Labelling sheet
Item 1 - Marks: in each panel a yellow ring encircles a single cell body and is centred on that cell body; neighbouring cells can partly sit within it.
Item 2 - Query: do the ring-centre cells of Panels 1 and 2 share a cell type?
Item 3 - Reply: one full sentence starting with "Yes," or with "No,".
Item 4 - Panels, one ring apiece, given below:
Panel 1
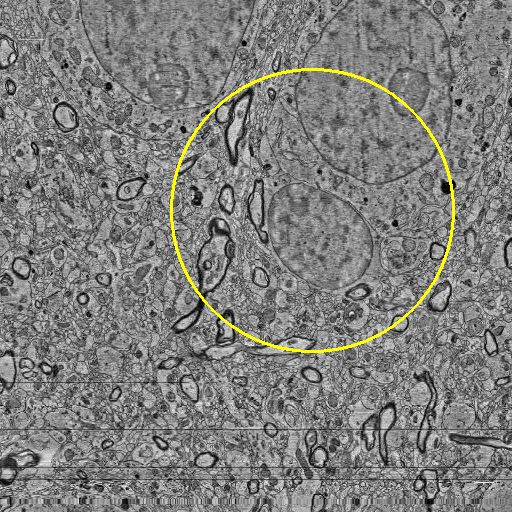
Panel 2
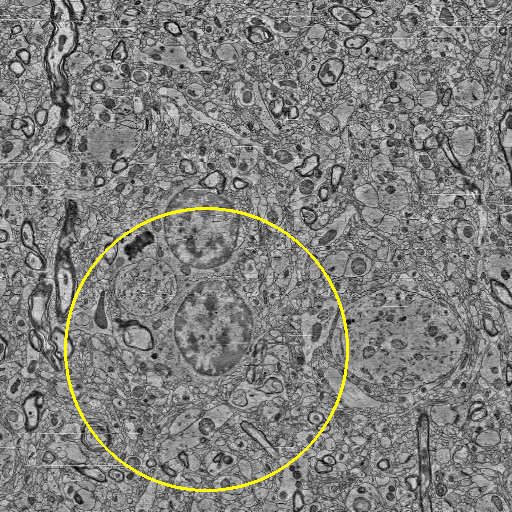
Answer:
Yes, Panel 1 and Panel 2 show one cell type at the centres of their rings.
